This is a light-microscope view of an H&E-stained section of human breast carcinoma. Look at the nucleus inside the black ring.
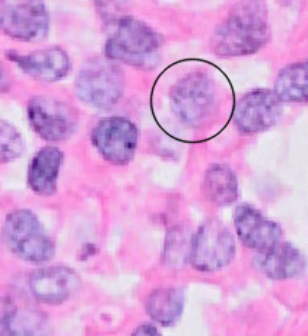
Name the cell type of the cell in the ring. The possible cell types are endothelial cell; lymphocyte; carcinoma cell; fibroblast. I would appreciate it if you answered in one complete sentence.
Assigned to a cell type, the cell in the ring is a carcinoma cell.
